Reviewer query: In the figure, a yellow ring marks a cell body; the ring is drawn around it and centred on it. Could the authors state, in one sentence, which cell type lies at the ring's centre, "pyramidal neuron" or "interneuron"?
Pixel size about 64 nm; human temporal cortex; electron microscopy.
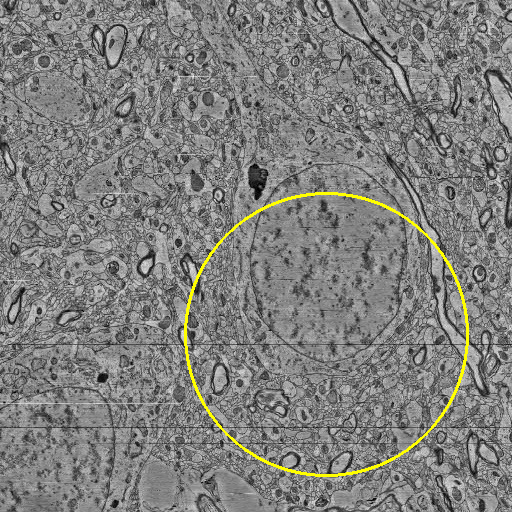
The ring is centred on a pyramidal neuron.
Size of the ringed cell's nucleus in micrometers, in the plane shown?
The nucleus appears roughly 14 by 10 micrometres in this plane.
